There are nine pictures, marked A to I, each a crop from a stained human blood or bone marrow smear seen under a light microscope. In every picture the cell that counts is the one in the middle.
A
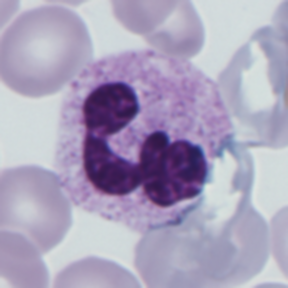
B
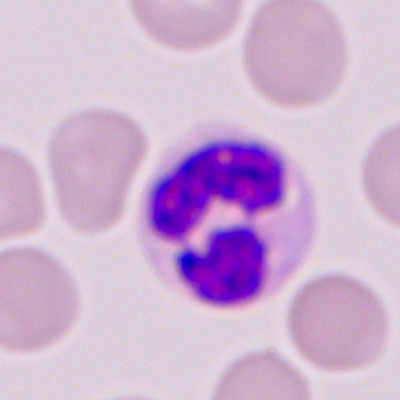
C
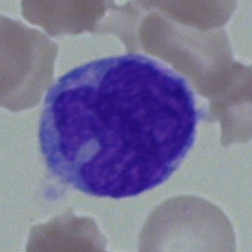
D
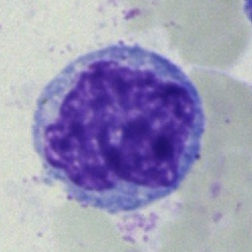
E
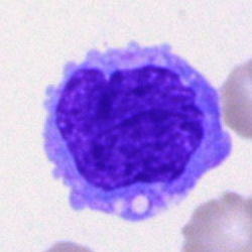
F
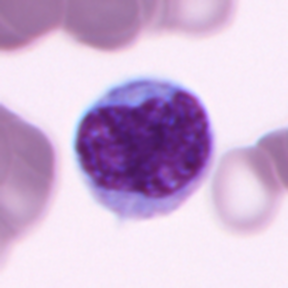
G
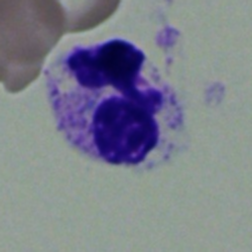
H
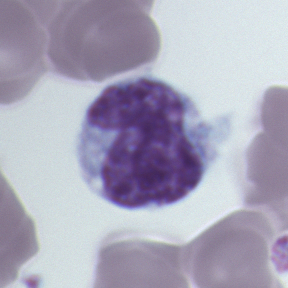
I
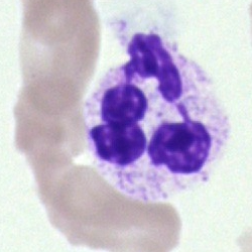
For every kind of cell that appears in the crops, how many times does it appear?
monocyte: 5
neutrophil: 4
